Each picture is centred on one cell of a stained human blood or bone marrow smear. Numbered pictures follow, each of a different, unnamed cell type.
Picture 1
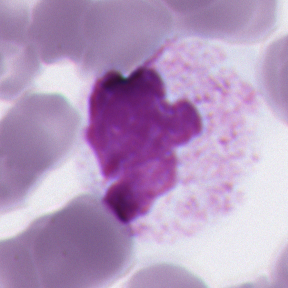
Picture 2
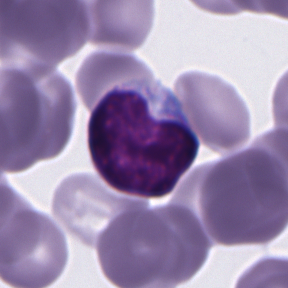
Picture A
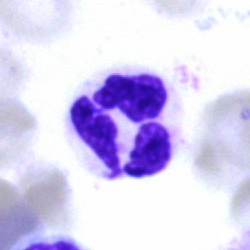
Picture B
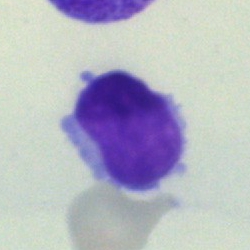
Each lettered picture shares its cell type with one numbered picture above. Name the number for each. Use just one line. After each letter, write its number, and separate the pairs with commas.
A 1, B 2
